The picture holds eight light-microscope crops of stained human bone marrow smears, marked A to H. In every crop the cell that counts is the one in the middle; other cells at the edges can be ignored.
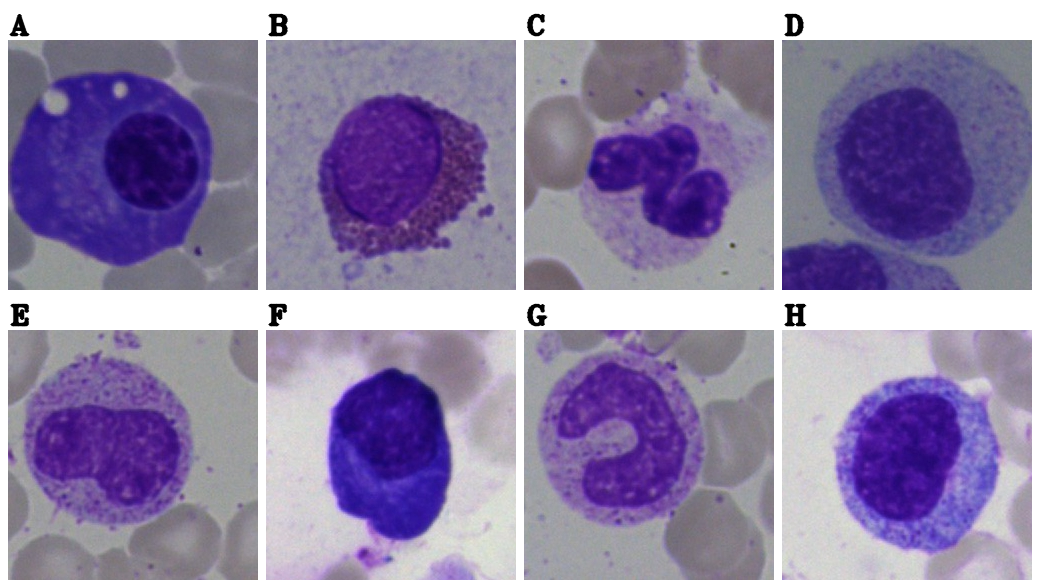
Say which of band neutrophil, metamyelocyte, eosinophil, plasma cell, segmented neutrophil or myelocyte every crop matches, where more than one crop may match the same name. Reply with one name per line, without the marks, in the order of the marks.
plasma cell
eosinophil
segmented neutrophil
myelocyte
metamyelocyte
plasma cell
band neutrophil
myelocyte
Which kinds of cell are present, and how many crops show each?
plasma cell: 2
myelocyte: 2
eosinophil: 1
segmented neutrophil: 1
metamyelocyte: 1
band neutrophil: 1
